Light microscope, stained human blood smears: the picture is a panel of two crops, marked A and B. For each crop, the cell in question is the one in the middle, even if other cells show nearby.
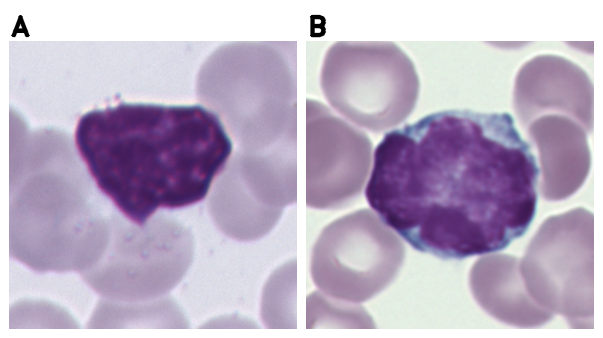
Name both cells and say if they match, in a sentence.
No, a typical lymphocyte is the cell of crop B, while a smudge cell is the cell of crop A.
